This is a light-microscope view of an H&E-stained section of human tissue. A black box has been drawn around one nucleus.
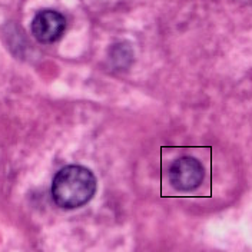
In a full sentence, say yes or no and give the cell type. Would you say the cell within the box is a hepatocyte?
Yes, the cell within the box in this section represents a hepatocyte.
